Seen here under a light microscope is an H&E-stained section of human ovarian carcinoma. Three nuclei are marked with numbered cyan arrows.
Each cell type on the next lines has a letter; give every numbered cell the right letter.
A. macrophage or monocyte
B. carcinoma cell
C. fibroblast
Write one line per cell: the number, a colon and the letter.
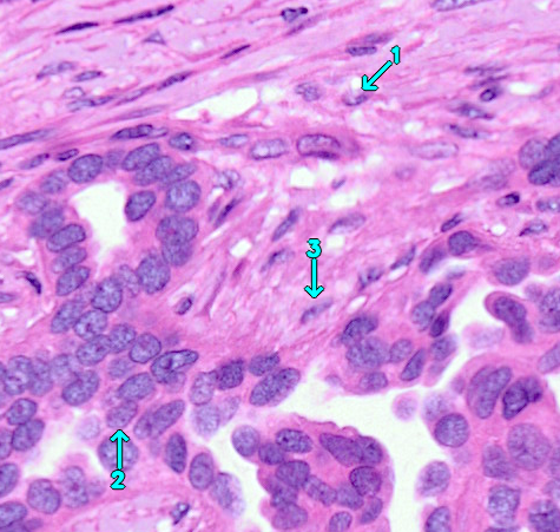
1: C
2: B
3: C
